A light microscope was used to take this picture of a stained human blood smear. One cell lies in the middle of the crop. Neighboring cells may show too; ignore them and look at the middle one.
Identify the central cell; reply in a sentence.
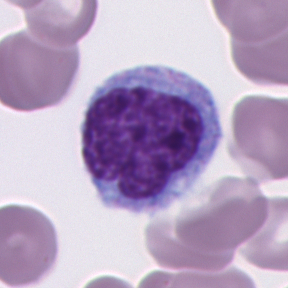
At the middle of the frame sits a monocyte.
